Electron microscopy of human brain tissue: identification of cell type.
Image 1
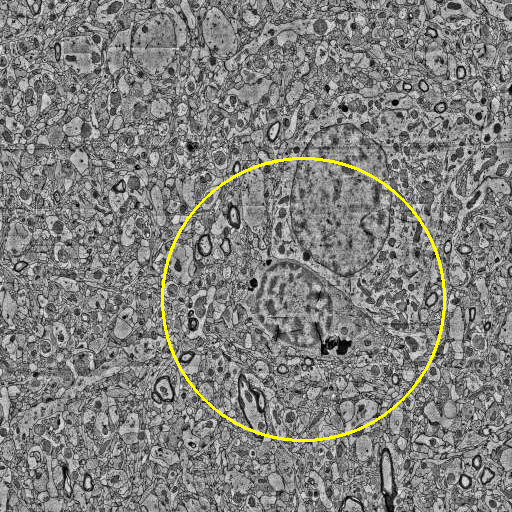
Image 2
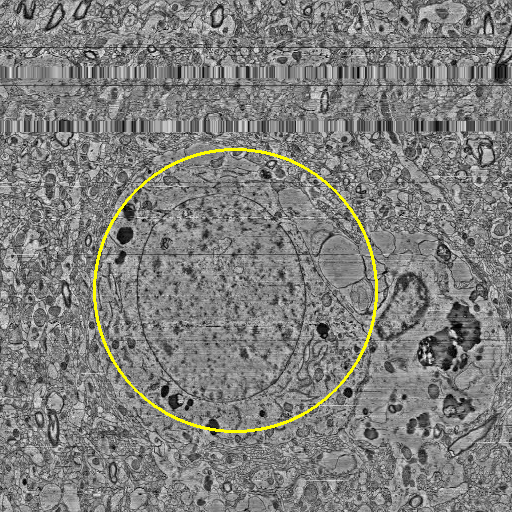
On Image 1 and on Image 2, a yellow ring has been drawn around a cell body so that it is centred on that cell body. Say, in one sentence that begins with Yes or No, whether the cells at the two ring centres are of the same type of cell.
No, the two cells are two separate types of cell.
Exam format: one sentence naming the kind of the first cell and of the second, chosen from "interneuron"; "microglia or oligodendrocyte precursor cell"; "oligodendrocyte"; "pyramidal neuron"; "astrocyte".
The first picture's cell is an oligodendrocyte, and the second picture's cell is a pyramidal neuron.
